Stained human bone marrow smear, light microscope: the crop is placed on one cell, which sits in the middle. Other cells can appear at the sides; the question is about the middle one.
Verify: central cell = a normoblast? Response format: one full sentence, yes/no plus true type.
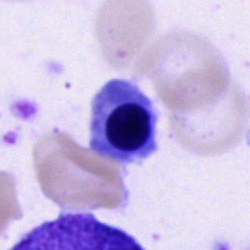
Yes, it is a normoblast that is seen at the centre of the crop.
